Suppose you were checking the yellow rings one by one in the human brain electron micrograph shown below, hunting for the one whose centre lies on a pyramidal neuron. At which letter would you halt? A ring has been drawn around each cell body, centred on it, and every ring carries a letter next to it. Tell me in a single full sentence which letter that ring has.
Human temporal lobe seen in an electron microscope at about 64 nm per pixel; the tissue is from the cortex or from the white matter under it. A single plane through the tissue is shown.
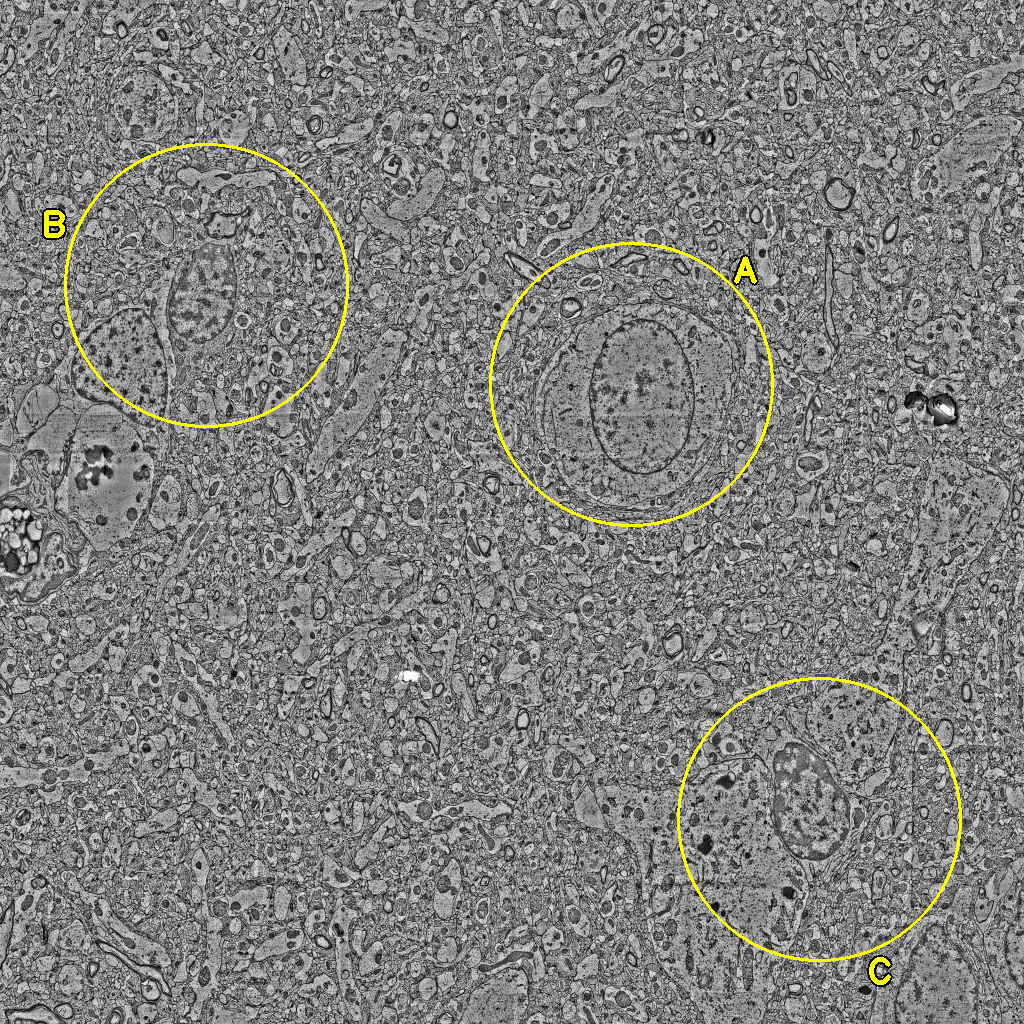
Going through the rings, I would stop at ring A, the one centred on the cell asked for.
